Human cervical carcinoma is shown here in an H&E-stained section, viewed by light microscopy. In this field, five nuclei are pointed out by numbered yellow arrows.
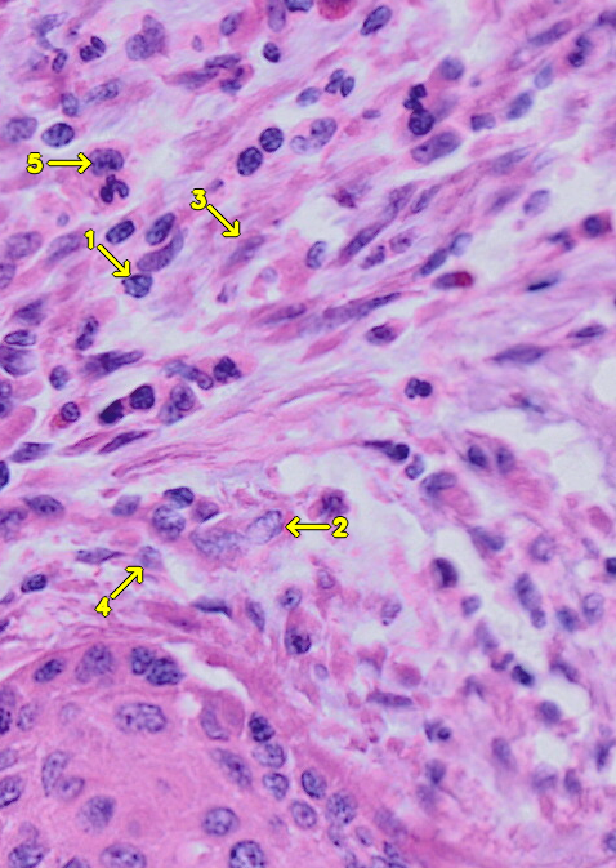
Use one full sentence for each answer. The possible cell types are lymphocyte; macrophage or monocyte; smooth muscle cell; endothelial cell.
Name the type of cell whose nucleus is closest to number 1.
The nearest nucleus to number 1 belongs to a macrophage or monocyte.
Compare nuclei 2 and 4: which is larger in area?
Of the two, number 2 is bigger and takes up about 1.5 times the area of number 4.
